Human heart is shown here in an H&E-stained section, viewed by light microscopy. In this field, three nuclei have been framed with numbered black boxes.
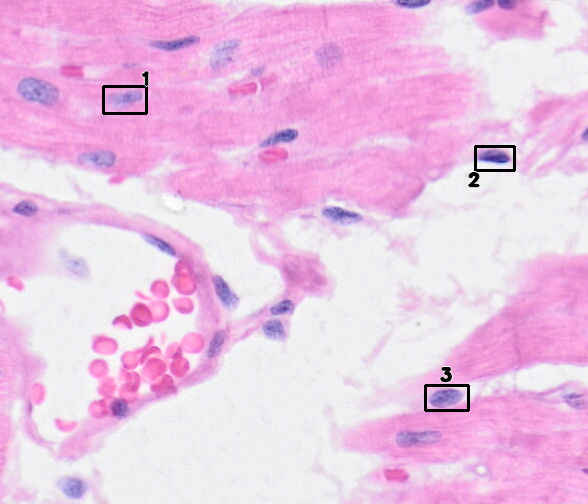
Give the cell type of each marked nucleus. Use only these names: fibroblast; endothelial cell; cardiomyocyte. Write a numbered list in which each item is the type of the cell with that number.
1. cardiomyocyte
2. fibroblast
3. fibroblast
